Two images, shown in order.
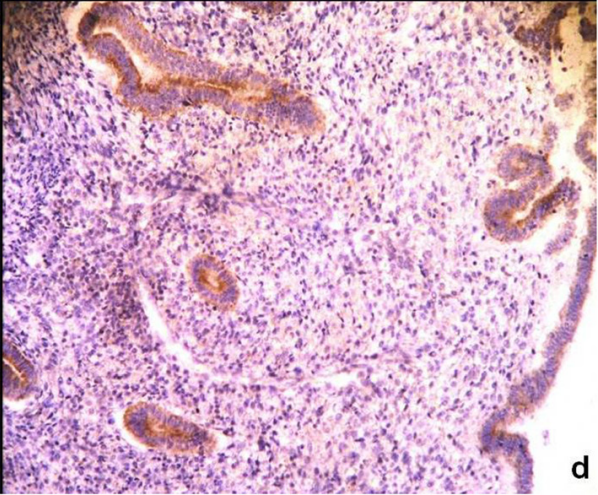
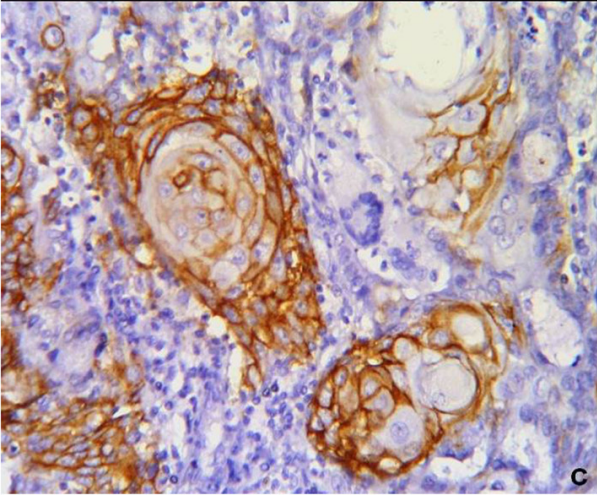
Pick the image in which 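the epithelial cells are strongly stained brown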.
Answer: The second image.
